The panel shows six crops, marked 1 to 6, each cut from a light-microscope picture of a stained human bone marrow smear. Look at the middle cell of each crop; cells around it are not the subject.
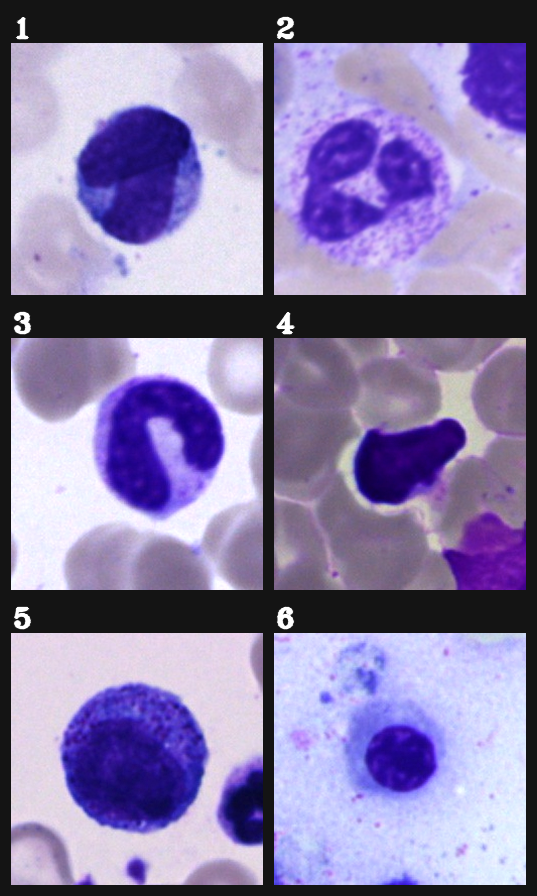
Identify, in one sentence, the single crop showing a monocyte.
The one showing a monocyte is the crop labelled 1.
